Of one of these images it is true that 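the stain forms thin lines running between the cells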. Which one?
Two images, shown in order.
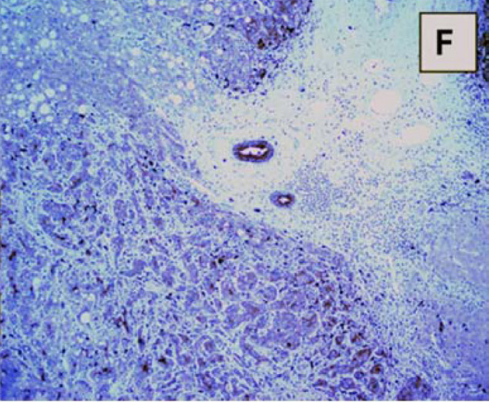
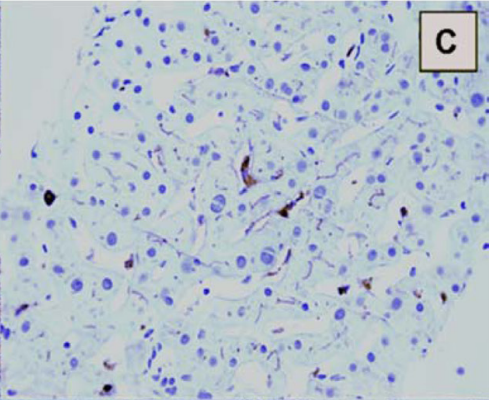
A: The second image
